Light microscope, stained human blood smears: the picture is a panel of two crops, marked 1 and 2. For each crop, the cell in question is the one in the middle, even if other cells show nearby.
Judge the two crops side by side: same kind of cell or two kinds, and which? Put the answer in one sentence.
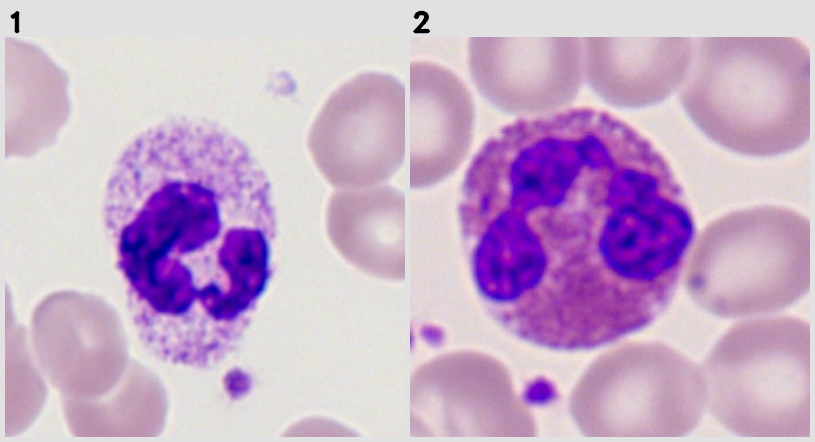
No, a neutrophil is the subject of crop 1, and an eosinophil is the subject of crop 2.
